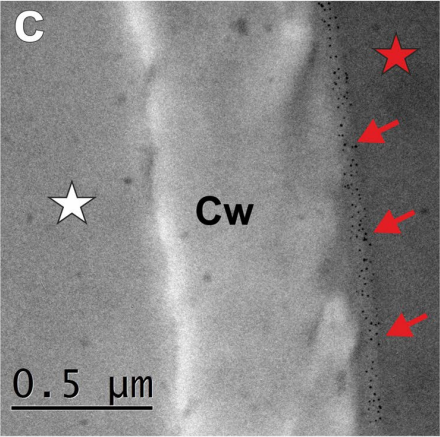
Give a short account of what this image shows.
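A thick, pale cell wall runs vertically between two plant cells, with grey cytoplasm on either side. Along the right-hand face of the wall, in the darker cytoplasm of one cell, a thin row of tiny black electron-dense dots lines the wall closely. The cytoplasm of the cell on the left, beyond the wall, shows no such dots.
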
